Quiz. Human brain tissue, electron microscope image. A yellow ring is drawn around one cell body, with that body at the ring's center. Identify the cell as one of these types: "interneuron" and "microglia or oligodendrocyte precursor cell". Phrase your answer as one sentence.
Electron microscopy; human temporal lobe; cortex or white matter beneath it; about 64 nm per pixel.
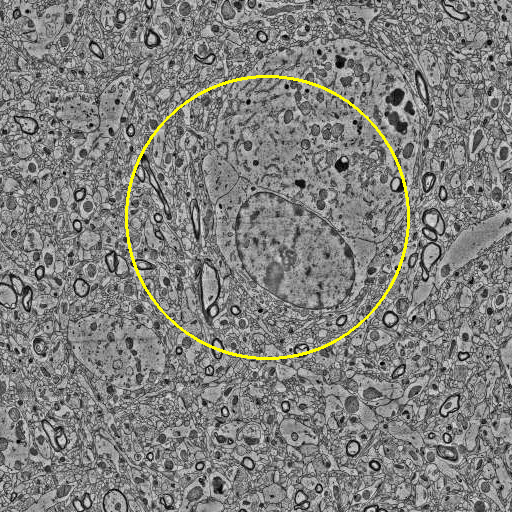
At the center of the ring sits a microglial cell or oligodendrocyte precursor cell.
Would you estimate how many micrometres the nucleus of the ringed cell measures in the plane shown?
In this plane, the nucleus is roughly 9 by 7 micrometres.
